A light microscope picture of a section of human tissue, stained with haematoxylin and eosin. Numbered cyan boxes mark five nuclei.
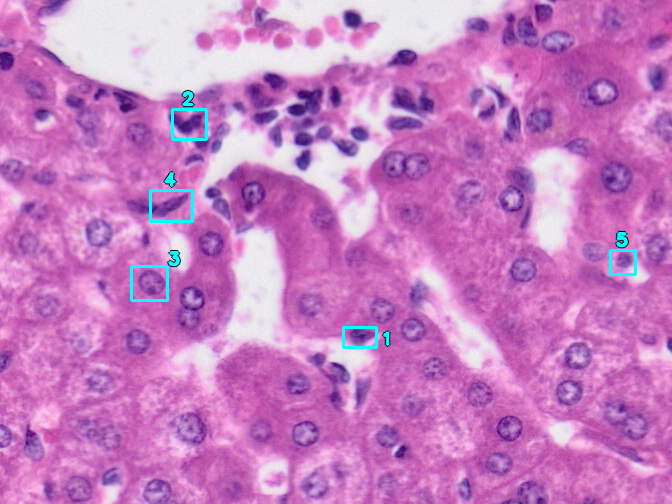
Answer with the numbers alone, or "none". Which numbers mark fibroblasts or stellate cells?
1, 2, 4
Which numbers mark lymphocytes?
5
